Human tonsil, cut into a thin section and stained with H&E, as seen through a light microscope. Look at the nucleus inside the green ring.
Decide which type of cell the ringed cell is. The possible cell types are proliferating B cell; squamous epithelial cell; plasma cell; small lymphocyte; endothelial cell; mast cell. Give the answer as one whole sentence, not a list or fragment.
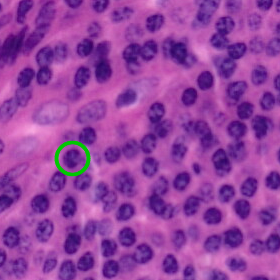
Labelled by cell type, the ringed cell is a plasma cell.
